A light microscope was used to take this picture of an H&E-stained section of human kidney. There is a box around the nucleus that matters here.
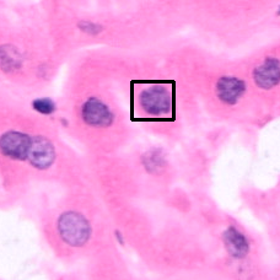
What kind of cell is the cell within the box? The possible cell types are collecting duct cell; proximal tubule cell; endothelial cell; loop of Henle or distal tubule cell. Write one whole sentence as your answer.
The cell within the box is a proximal tubule cell.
